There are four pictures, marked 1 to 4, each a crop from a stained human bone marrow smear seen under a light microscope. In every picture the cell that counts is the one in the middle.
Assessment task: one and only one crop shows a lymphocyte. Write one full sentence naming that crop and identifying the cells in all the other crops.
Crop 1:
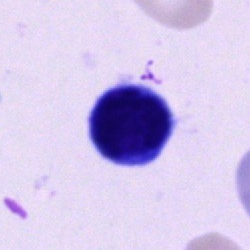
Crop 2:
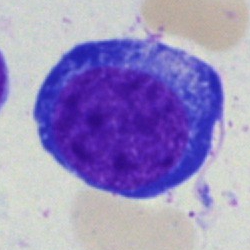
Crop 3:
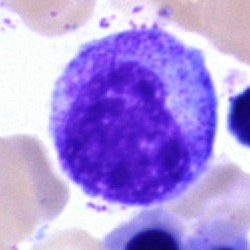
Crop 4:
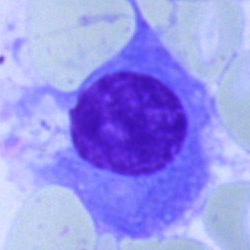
The central cell in crop 1 is a lymphocyte, whereas crop 2 is a proerythroblast, crop 3 is a promyelocyte and crop 4 is a plasma cell.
